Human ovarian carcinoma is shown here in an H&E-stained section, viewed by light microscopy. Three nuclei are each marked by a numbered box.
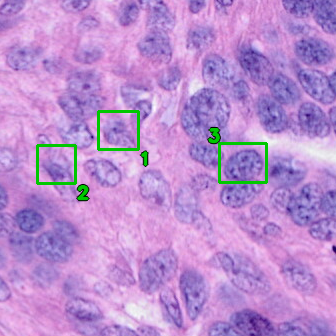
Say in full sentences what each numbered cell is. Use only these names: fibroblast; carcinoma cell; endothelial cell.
Cells 1 and 2 are fibroblasts. Cell 3 is a carcinoma cell.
